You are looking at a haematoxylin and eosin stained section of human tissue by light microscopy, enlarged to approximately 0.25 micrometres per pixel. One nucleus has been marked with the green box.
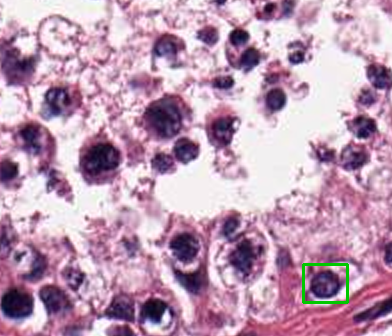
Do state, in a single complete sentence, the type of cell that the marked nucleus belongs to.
The nucleus that has been marked belongs to a spermatogonium.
